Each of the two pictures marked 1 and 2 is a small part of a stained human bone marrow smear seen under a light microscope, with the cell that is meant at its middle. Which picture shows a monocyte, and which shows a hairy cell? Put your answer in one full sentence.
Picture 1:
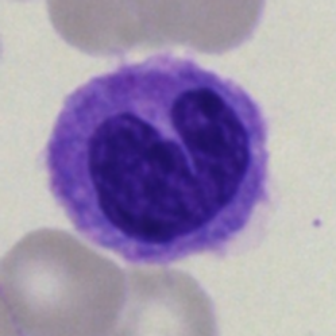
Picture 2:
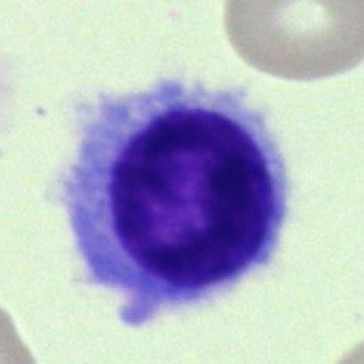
In picture 1 the cell is a monocyte; in picture 2, a hairy cell.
